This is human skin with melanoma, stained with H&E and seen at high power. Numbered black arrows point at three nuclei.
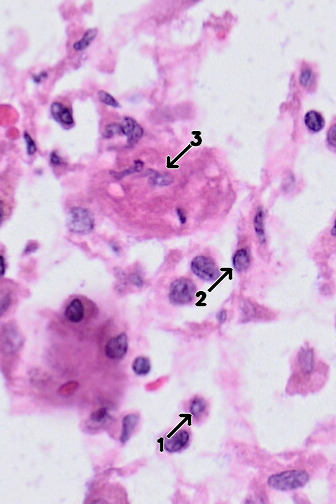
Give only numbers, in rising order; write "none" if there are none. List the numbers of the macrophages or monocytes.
1, 2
